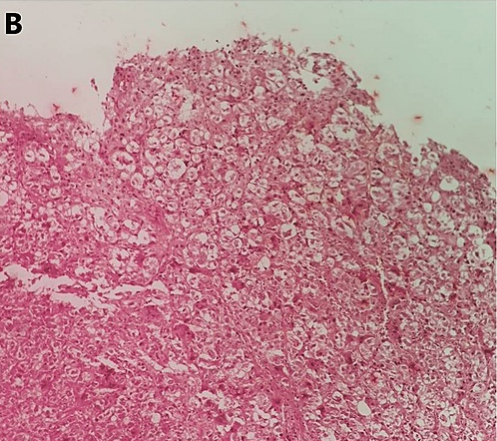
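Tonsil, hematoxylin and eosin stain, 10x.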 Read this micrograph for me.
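The cells are polygonal and packed closely together with very little stroma between them. Many have abundant pale to clear, bubbly-looking cytoplasm with distinct cell outlines, giving a mottled appearance, while others in the lower part are more densely pink. The fragment's upper edge is ragged, and a few clefts run through the tumour sheet.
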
